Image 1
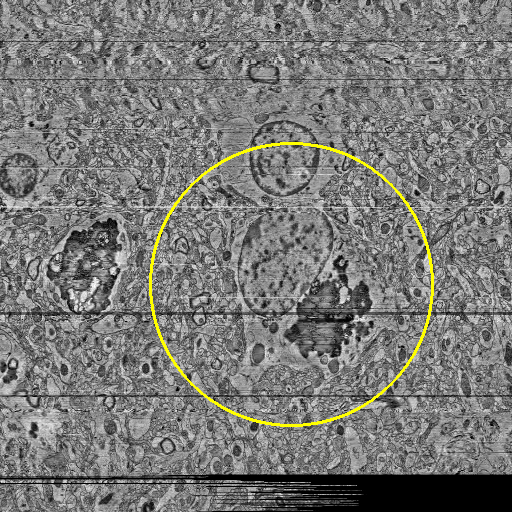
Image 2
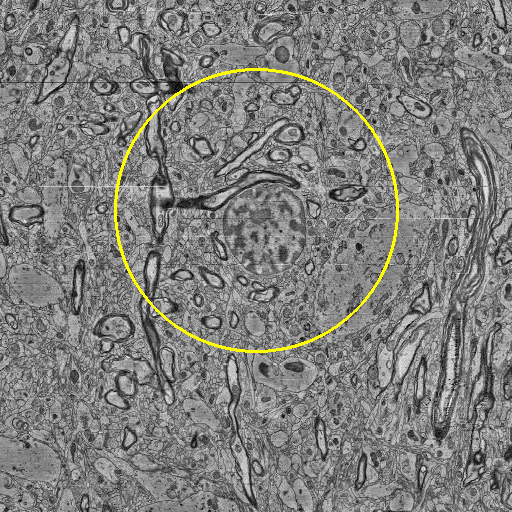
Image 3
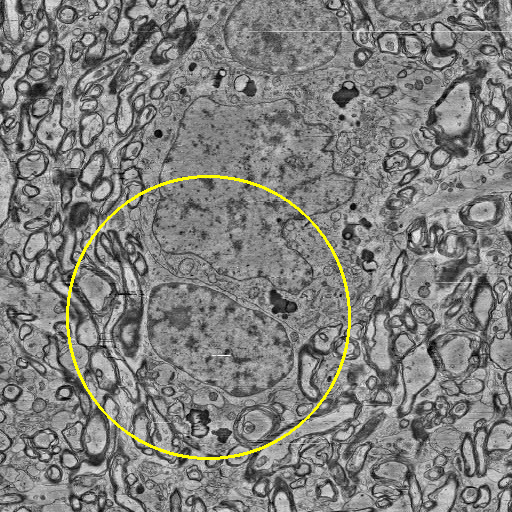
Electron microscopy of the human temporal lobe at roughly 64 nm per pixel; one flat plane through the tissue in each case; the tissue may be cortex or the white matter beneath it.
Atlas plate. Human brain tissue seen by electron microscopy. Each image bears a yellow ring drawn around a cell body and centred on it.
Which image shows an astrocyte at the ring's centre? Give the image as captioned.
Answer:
Image 1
